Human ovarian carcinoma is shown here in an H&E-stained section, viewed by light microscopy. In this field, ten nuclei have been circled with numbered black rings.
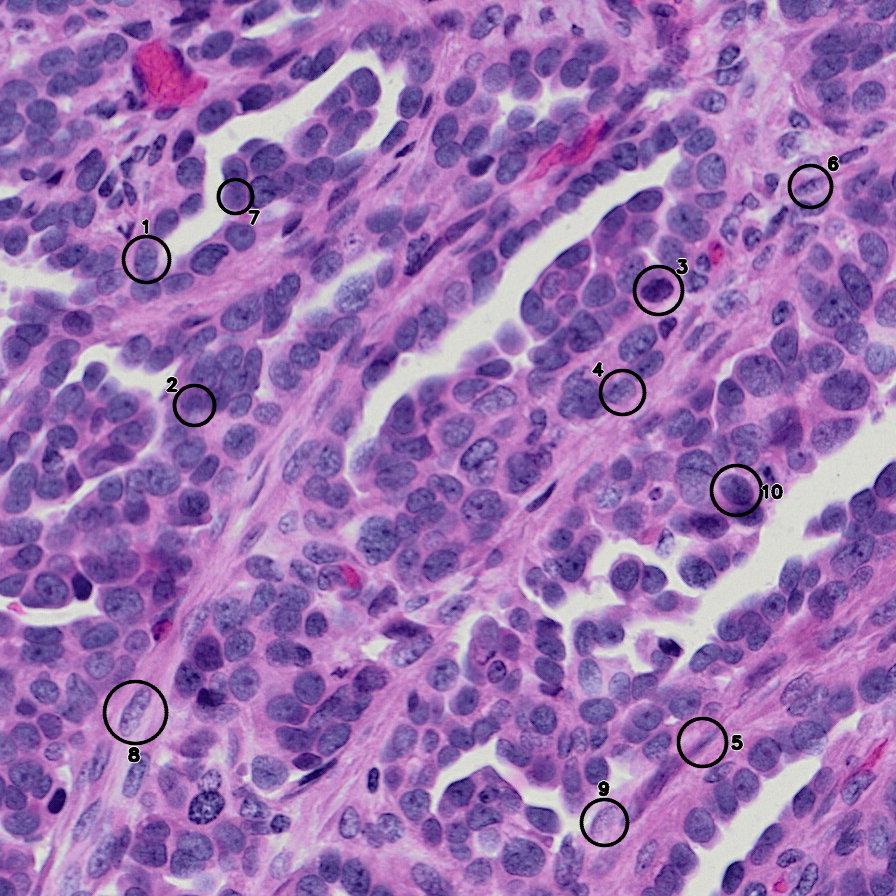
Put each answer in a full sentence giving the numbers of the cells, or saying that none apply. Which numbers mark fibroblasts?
Marked by the numbers 5, 6, 8 and 9 are cells that are fibroblasts.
